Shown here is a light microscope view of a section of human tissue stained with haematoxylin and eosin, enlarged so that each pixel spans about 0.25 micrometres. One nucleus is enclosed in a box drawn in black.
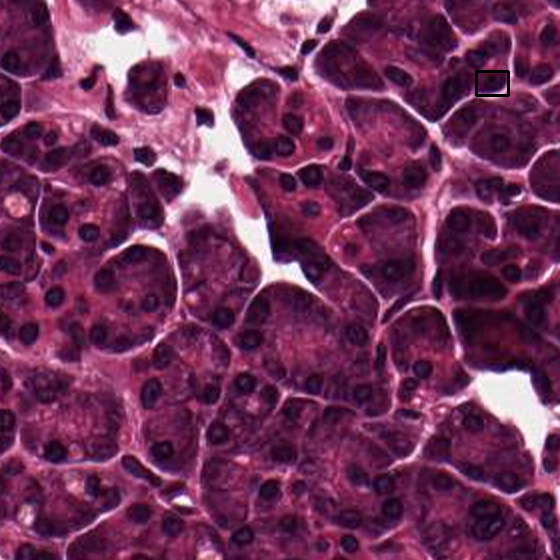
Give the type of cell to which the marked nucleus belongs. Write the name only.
pancreatic acinar cell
